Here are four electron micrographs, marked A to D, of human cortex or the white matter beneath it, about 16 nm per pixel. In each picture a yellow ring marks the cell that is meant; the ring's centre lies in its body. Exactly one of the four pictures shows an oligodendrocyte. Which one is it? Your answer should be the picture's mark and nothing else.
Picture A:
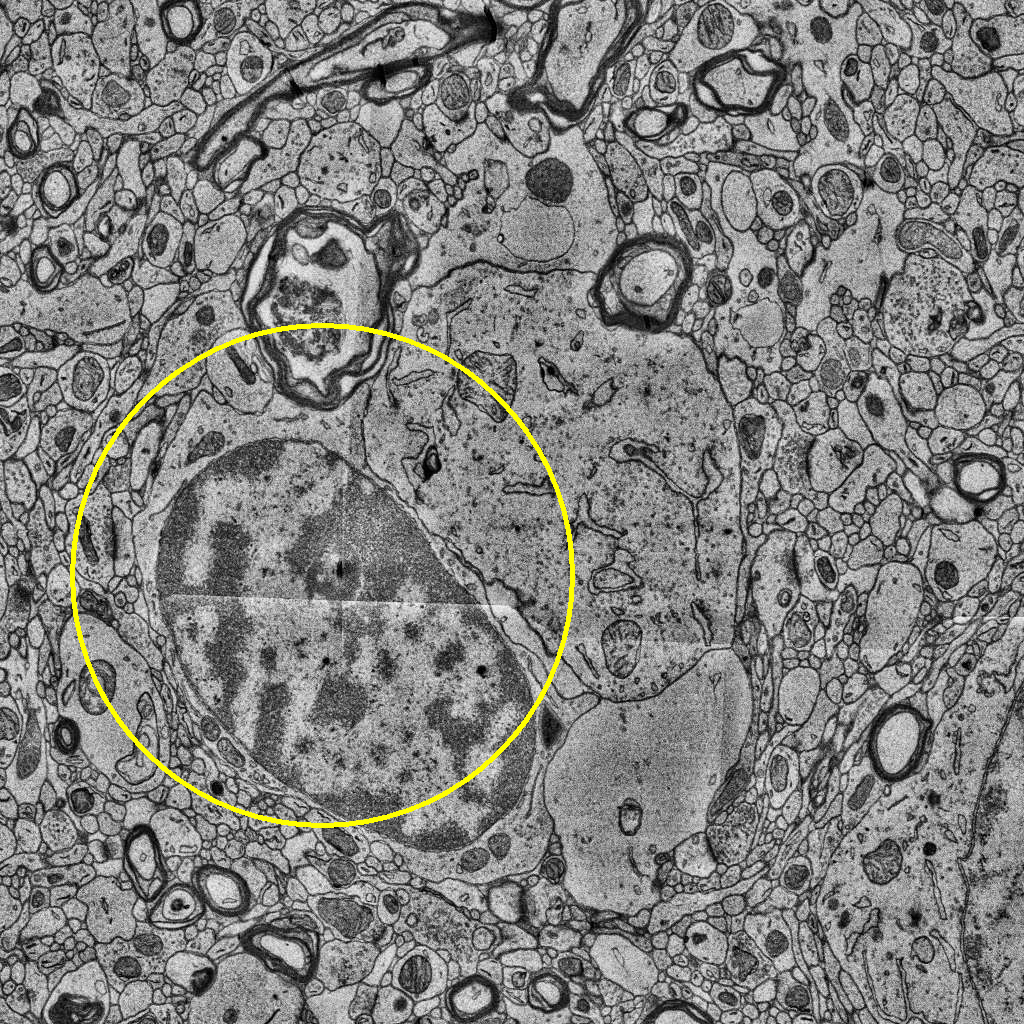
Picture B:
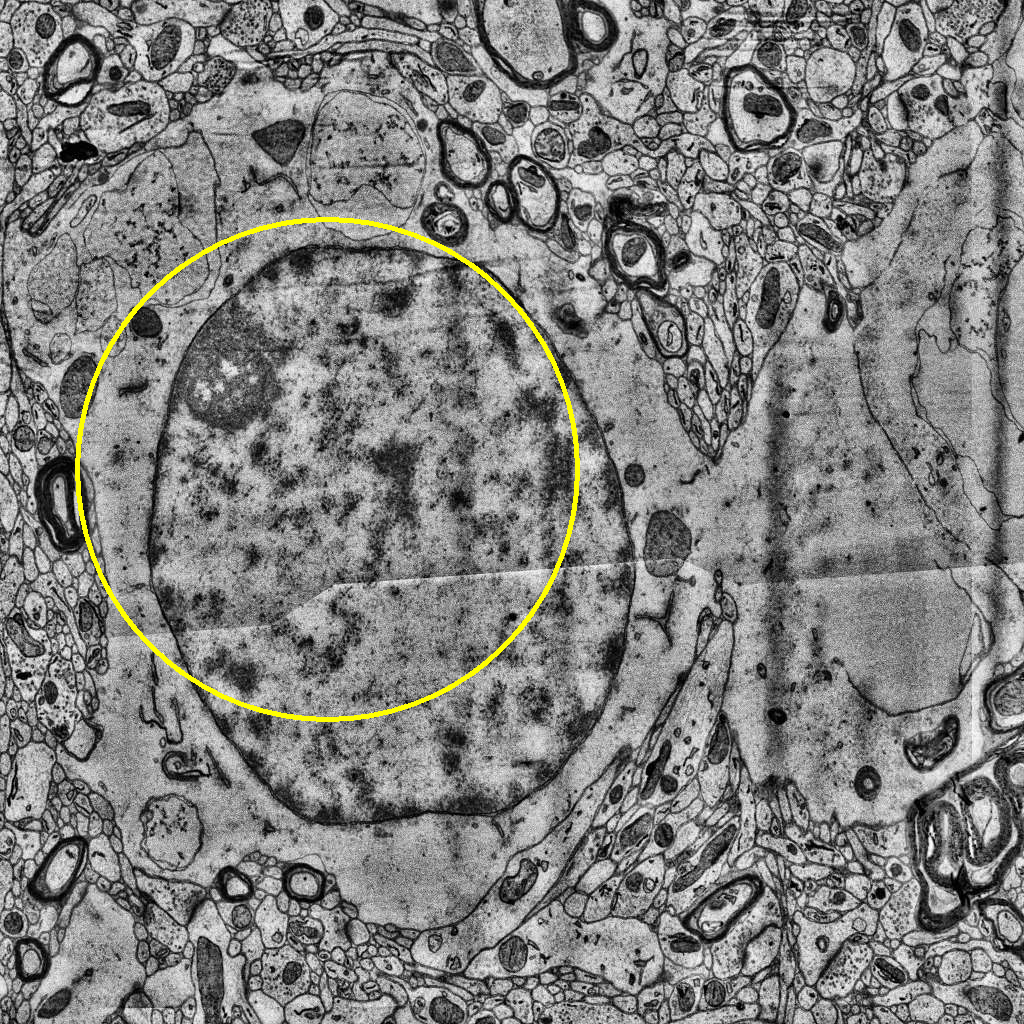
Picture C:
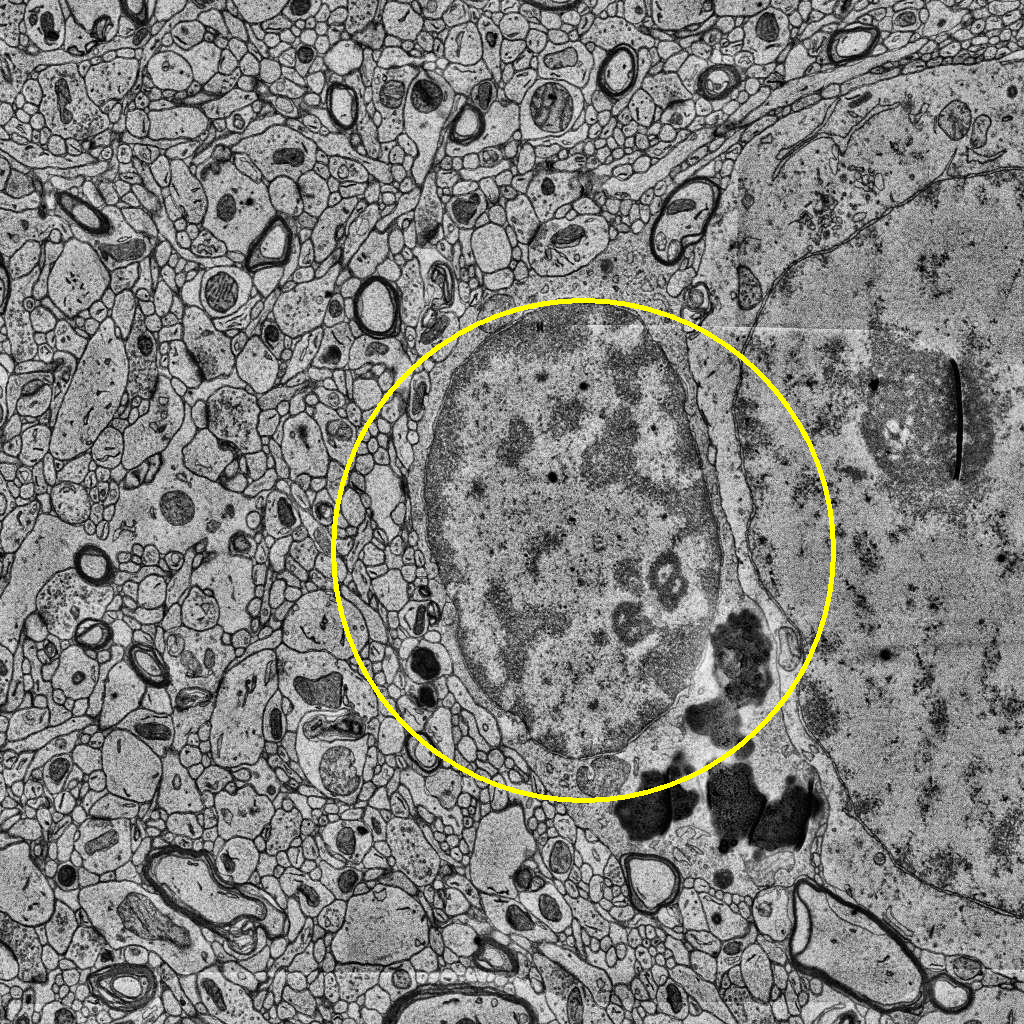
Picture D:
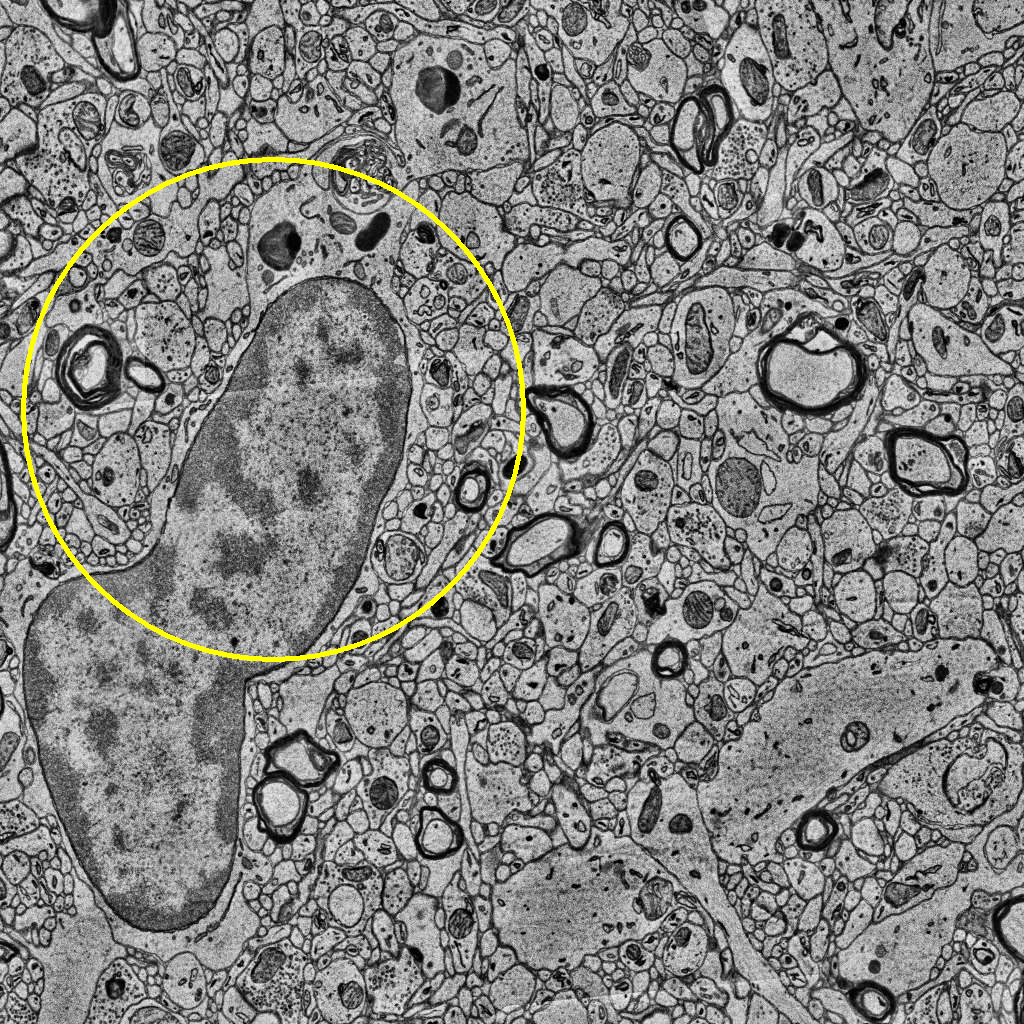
C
